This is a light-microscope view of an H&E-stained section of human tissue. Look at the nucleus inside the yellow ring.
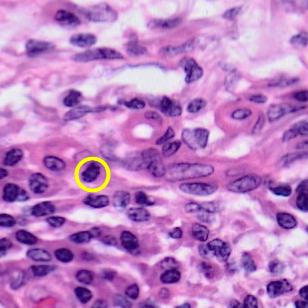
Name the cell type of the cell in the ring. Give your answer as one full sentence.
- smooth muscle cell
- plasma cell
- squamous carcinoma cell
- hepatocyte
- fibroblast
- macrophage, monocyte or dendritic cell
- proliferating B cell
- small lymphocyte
Microscopically, the cell in the ring is categorized as a plasma cell.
